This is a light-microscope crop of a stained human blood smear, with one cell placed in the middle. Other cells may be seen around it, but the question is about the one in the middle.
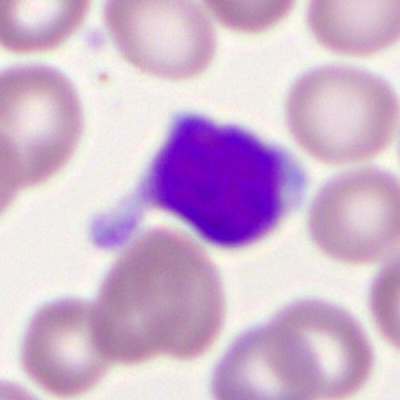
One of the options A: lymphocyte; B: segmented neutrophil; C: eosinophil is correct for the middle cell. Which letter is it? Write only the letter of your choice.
A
